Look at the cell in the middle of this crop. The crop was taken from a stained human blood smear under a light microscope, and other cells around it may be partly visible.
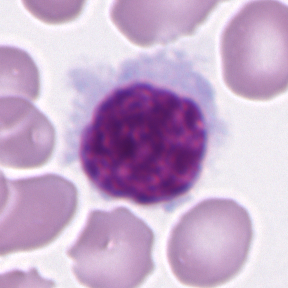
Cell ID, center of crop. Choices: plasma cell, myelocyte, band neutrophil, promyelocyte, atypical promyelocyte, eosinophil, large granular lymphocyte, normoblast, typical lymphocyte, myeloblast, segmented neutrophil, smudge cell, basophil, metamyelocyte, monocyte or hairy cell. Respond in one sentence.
Here the cell in the middle is a hairy cell.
